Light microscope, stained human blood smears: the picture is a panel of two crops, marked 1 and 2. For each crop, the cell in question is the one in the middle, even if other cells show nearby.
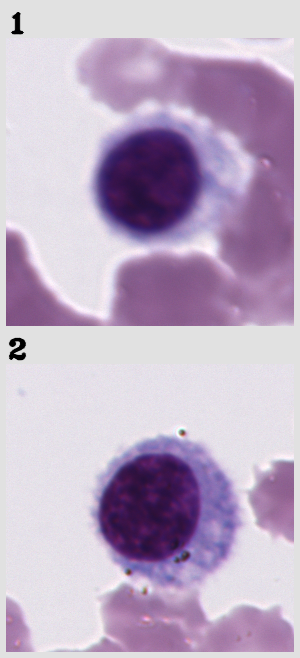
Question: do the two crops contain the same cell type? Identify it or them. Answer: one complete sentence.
Yes, both crops show hairy cells as their central cells.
